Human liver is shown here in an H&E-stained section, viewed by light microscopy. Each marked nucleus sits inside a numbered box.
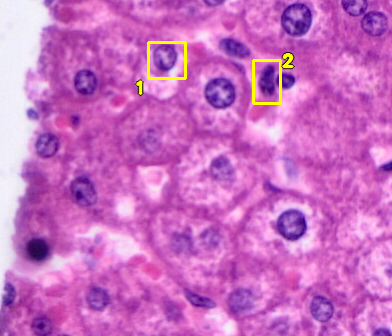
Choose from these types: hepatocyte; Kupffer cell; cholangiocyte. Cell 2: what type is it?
Kupffer cell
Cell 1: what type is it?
hepatocyte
